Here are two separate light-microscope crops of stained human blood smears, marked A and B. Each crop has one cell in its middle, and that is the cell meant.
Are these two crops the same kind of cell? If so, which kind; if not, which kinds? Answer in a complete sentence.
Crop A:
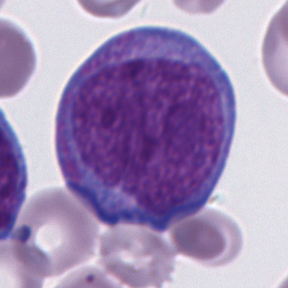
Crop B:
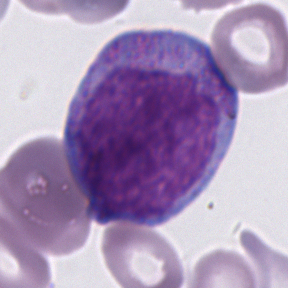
Yes, both the first crop and the second crop show promyelocytes.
